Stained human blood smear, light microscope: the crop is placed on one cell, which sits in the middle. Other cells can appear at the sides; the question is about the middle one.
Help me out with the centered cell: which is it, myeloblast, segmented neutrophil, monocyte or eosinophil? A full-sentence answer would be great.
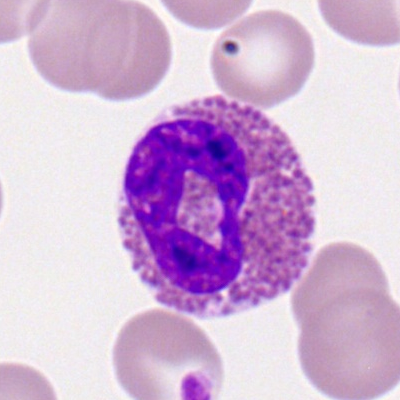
At the crop's centre, the cell is an eosinophil.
